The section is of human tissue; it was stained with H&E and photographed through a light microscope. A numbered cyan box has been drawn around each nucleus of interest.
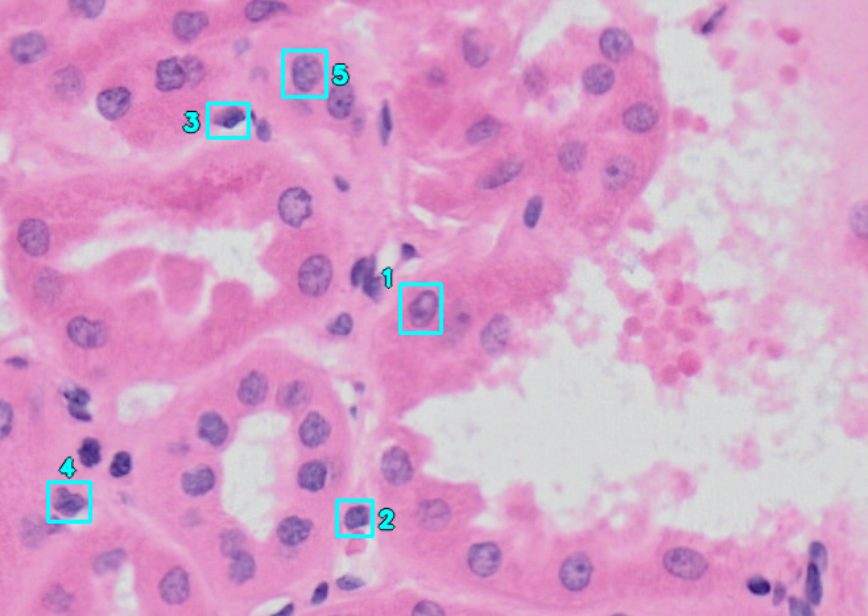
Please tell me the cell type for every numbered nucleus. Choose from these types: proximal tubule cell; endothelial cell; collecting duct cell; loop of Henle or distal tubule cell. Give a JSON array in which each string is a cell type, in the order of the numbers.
["proximal tubule cell", "endothelial cell", "endothelial cell", "endothelial cell", "collecting duct cell"]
